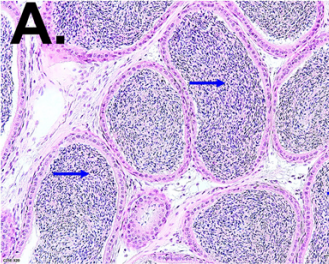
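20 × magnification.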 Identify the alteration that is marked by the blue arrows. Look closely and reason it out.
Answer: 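The marked tubule lumens are completely filled with densely packed dark sperm. Only a thin epithelial rim surrounds the packed lumen content.
High spermatozoa density.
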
